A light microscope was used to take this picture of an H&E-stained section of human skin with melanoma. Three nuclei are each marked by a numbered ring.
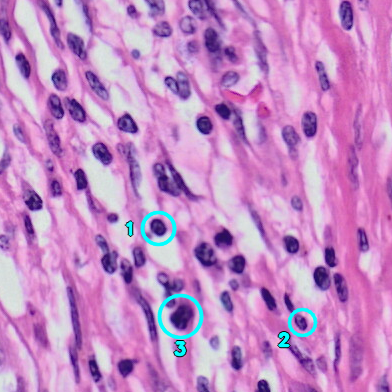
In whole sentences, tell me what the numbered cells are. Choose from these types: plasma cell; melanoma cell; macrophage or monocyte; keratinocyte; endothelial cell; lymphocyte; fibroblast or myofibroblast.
Cells 1 and 2 are lymphocytes. Cell 3 is a plasma cell.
